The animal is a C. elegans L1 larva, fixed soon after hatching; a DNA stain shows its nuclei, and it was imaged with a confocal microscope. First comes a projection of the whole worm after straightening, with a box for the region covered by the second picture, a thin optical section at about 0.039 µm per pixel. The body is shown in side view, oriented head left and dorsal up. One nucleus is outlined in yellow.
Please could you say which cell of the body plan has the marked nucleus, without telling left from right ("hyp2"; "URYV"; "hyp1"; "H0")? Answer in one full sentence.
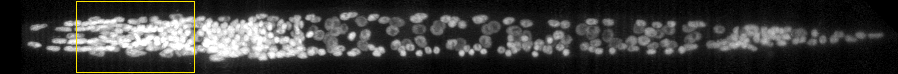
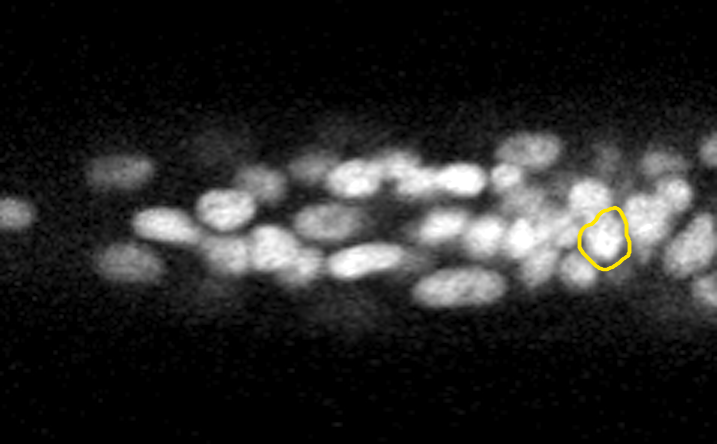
The nucleus is from URYV, a neuron.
